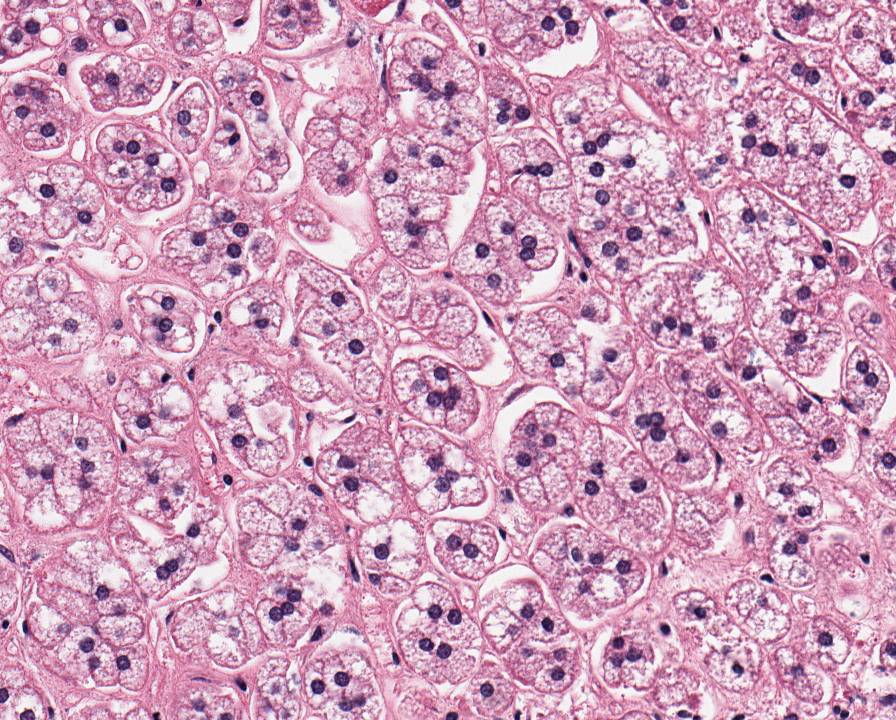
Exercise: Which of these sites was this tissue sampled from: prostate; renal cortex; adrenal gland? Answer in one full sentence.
The sample was taken from the adrenal gland.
